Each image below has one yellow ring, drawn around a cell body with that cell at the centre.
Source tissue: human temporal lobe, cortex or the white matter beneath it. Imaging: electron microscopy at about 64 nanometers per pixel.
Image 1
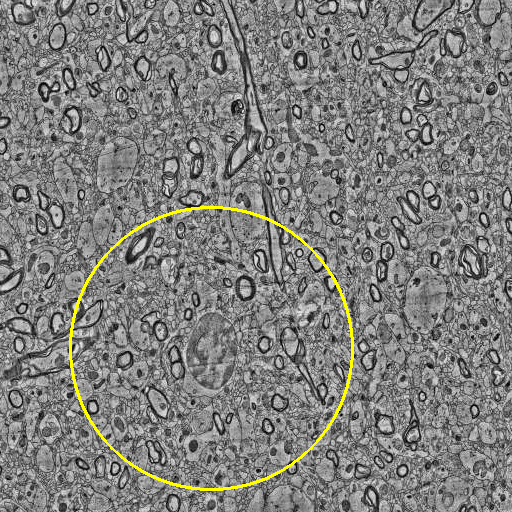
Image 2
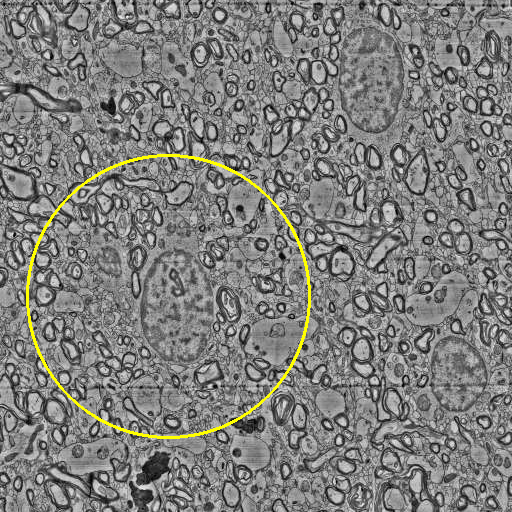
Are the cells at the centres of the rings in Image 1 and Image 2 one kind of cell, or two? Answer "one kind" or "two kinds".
two kinds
